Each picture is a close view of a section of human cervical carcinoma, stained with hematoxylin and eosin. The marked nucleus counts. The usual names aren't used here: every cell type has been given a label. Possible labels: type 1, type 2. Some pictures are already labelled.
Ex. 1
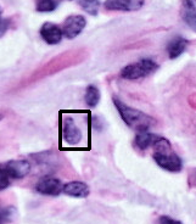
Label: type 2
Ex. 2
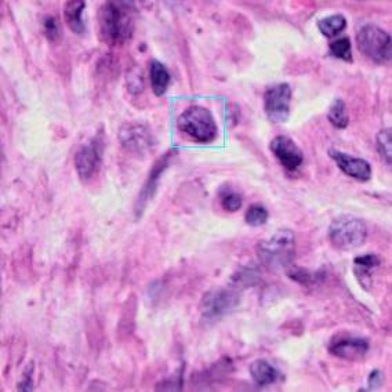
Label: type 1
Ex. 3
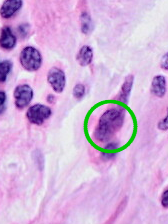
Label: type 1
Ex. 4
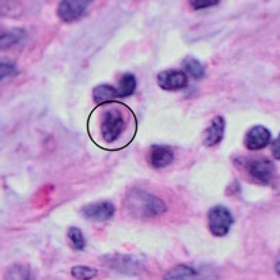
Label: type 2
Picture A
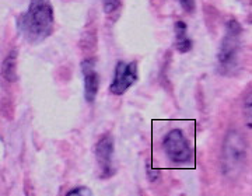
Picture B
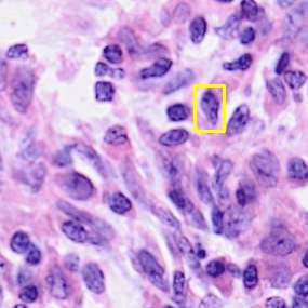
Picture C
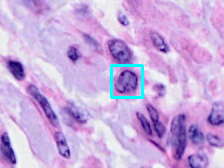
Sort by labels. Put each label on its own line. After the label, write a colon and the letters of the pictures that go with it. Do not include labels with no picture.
type 1: A, C
type 2: B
